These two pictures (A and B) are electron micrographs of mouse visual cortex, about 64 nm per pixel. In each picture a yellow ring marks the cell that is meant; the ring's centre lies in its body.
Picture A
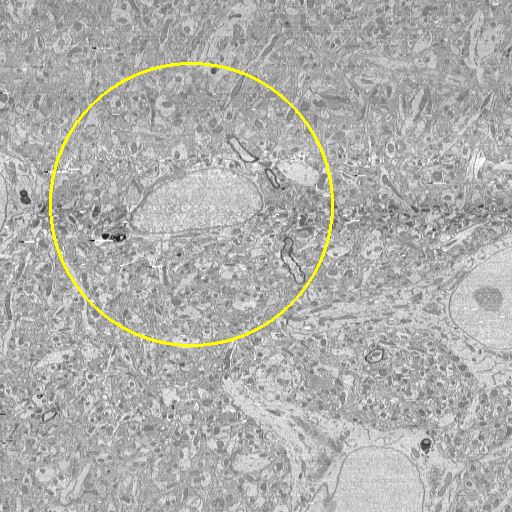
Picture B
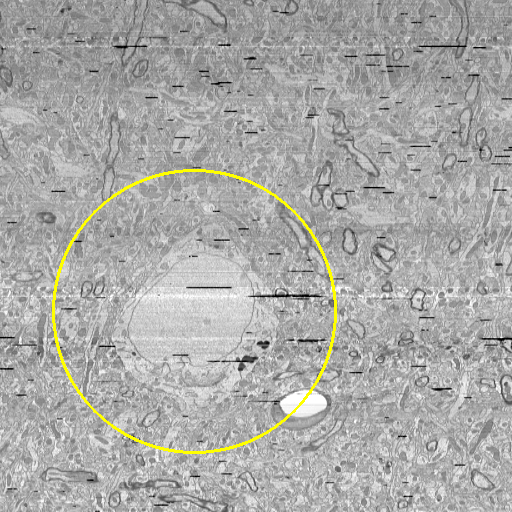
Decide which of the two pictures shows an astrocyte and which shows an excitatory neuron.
In picture A the cell is an astrocyte; in picture B, an excitatory neuron.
